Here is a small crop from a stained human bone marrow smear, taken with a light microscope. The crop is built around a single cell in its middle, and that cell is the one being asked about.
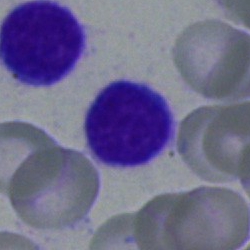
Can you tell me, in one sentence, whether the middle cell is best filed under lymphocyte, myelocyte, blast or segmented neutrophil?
The central cell, amid any neighbouring cells, is a lymphocyte.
